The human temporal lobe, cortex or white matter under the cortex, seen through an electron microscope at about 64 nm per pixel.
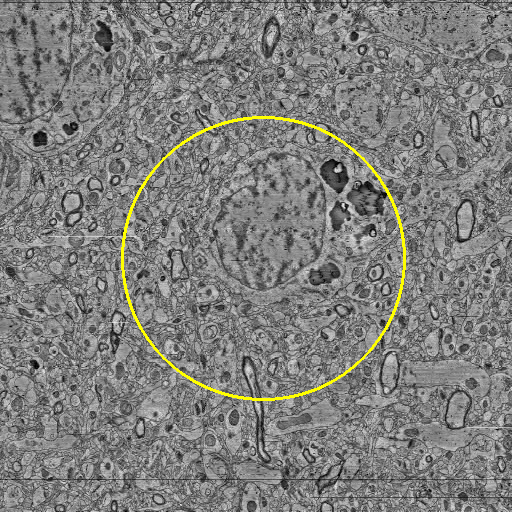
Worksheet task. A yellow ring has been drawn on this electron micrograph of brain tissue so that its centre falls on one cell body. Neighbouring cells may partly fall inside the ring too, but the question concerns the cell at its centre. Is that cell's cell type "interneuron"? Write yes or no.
yes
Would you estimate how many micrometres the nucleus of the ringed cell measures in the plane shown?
In this plane, the nucleus is roughly 9 by 7 micrometres.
